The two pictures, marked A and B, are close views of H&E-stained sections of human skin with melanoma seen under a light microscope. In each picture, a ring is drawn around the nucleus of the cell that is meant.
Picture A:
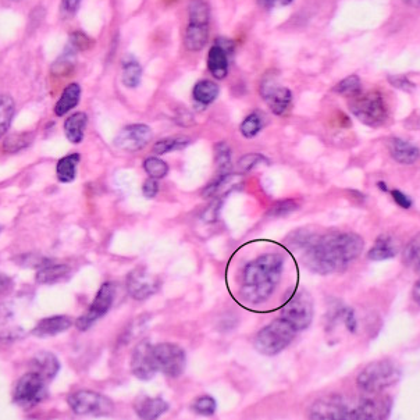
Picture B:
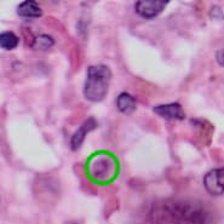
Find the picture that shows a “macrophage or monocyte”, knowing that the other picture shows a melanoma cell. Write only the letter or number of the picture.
B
